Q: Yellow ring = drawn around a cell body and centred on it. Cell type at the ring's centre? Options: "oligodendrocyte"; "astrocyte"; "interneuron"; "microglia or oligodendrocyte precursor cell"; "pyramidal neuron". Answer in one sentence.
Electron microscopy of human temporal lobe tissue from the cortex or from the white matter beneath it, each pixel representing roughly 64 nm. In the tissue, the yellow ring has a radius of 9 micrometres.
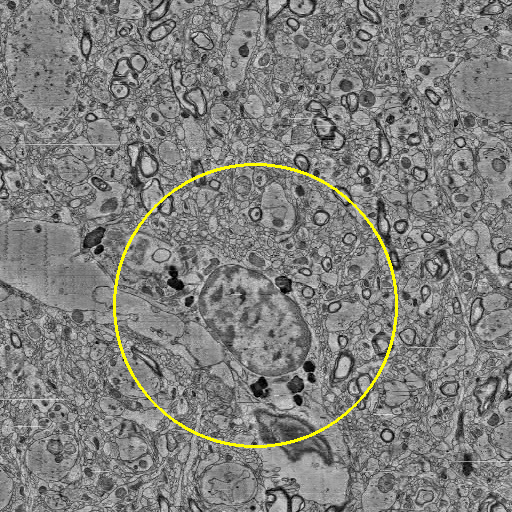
Centred in the ring is a microglial cell or oligodendrocyte precursor cell.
